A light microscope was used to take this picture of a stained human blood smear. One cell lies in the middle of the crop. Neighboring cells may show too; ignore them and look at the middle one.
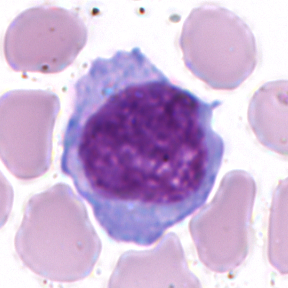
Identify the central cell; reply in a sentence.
The cell nearest the centre of this crop is a plasma cell.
